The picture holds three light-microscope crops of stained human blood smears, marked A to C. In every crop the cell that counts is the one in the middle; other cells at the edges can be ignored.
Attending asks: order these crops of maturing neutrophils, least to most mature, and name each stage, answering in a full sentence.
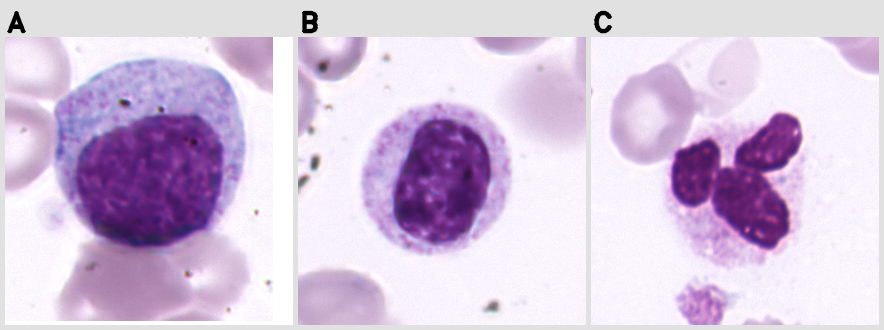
Ordering these by maturity, least mature first, yields crop A (a promyelocyte), crop B (a metamyelocyte) and crop C (a segmented neutrophil).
